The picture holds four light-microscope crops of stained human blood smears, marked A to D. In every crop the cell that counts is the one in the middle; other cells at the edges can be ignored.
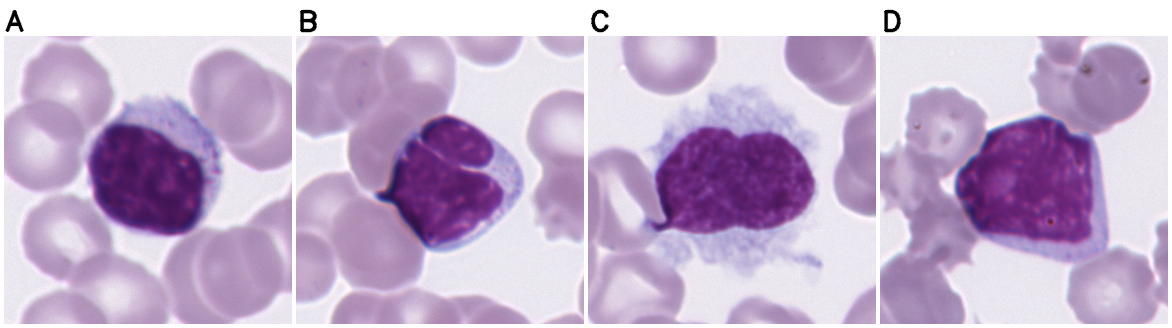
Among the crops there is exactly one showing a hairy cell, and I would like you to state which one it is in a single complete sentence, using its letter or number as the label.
Crop C is the crop whose central cell is a hairy cell.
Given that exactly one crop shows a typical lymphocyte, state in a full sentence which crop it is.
Among the crops given, only crop A shows a typical lymphocyte.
